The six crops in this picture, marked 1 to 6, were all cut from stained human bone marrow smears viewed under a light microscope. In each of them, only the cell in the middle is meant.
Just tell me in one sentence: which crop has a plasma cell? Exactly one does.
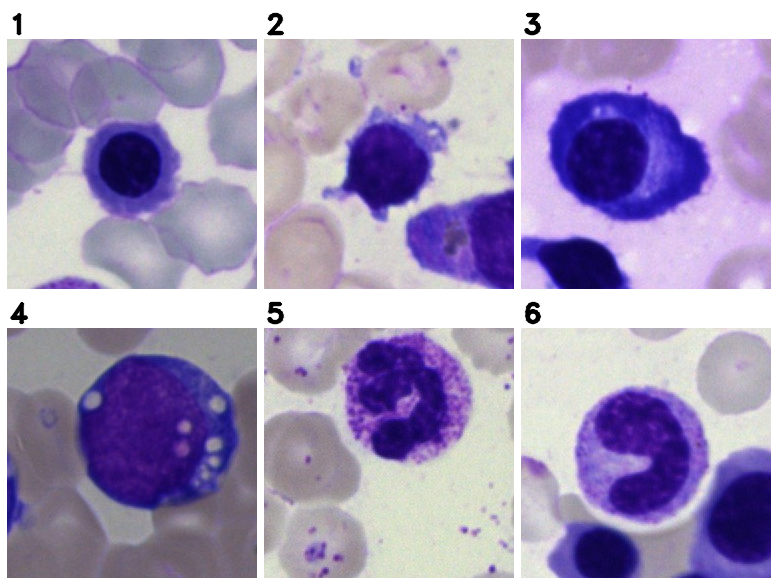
When the crops are compared, crop 3 is the one showing a plasma cell.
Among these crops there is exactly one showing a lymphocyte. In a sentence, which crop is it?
Crop 2 alone, of all the crops, shows a lymphocyte.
